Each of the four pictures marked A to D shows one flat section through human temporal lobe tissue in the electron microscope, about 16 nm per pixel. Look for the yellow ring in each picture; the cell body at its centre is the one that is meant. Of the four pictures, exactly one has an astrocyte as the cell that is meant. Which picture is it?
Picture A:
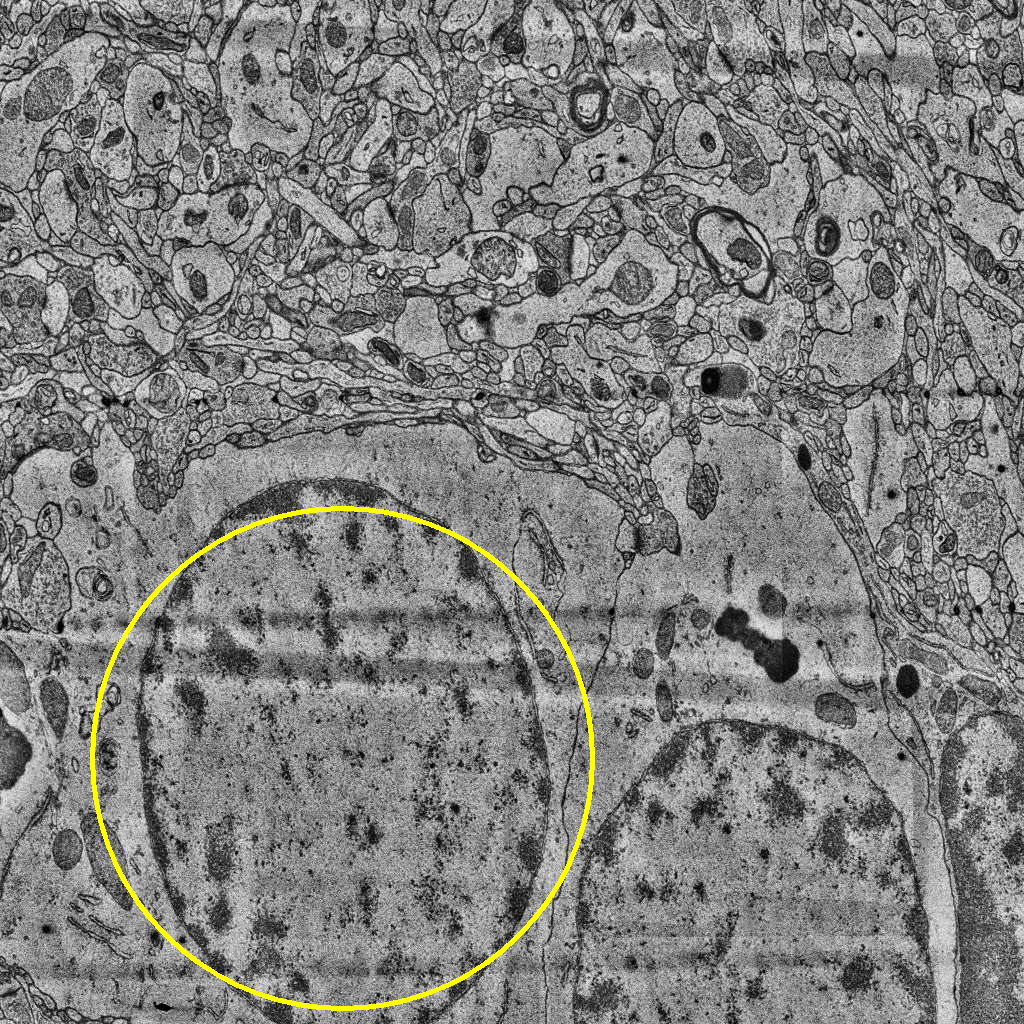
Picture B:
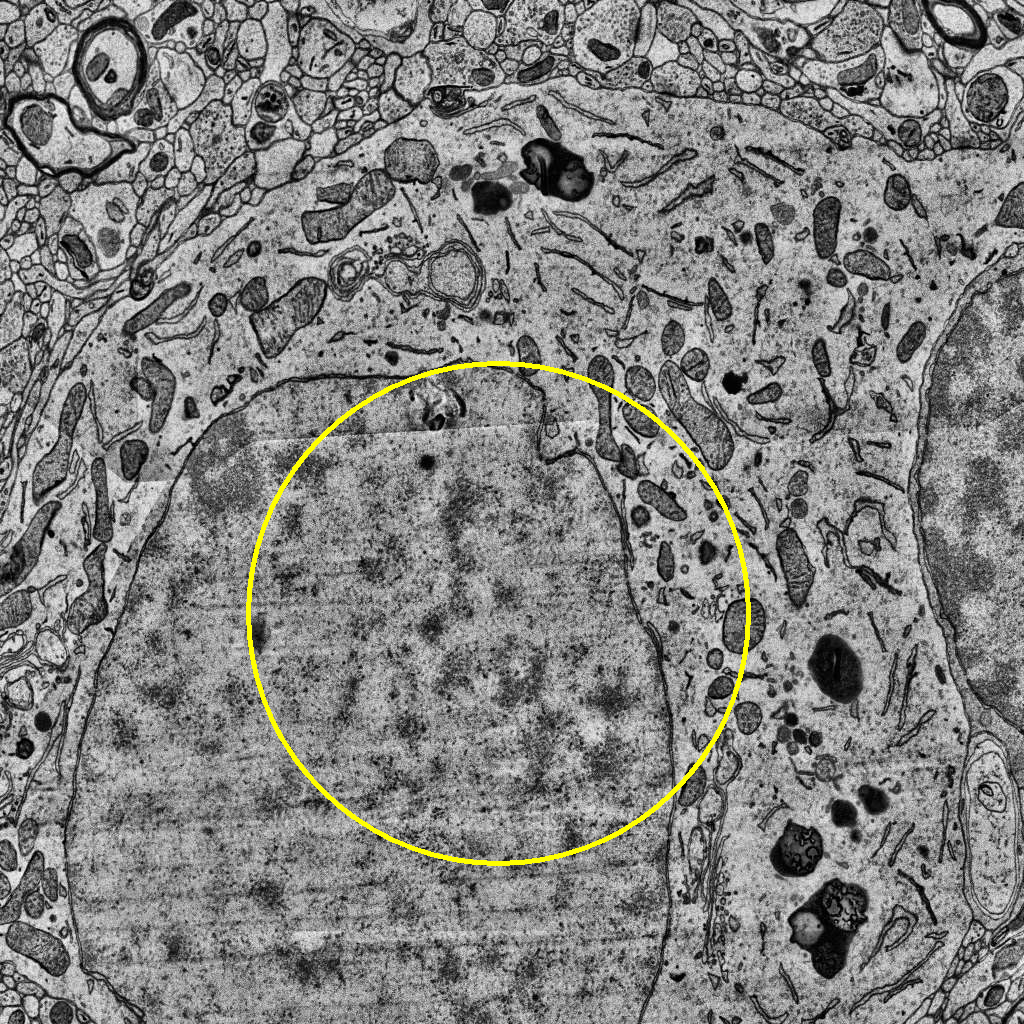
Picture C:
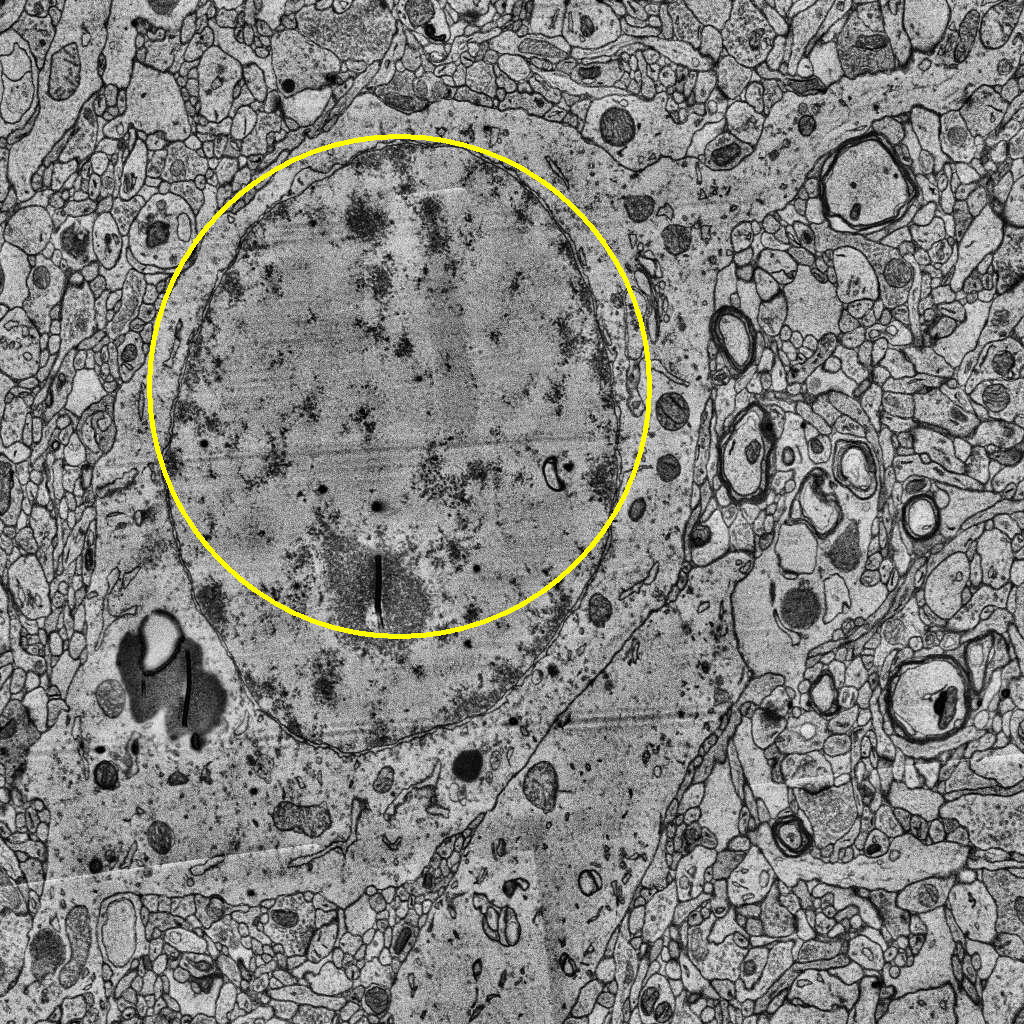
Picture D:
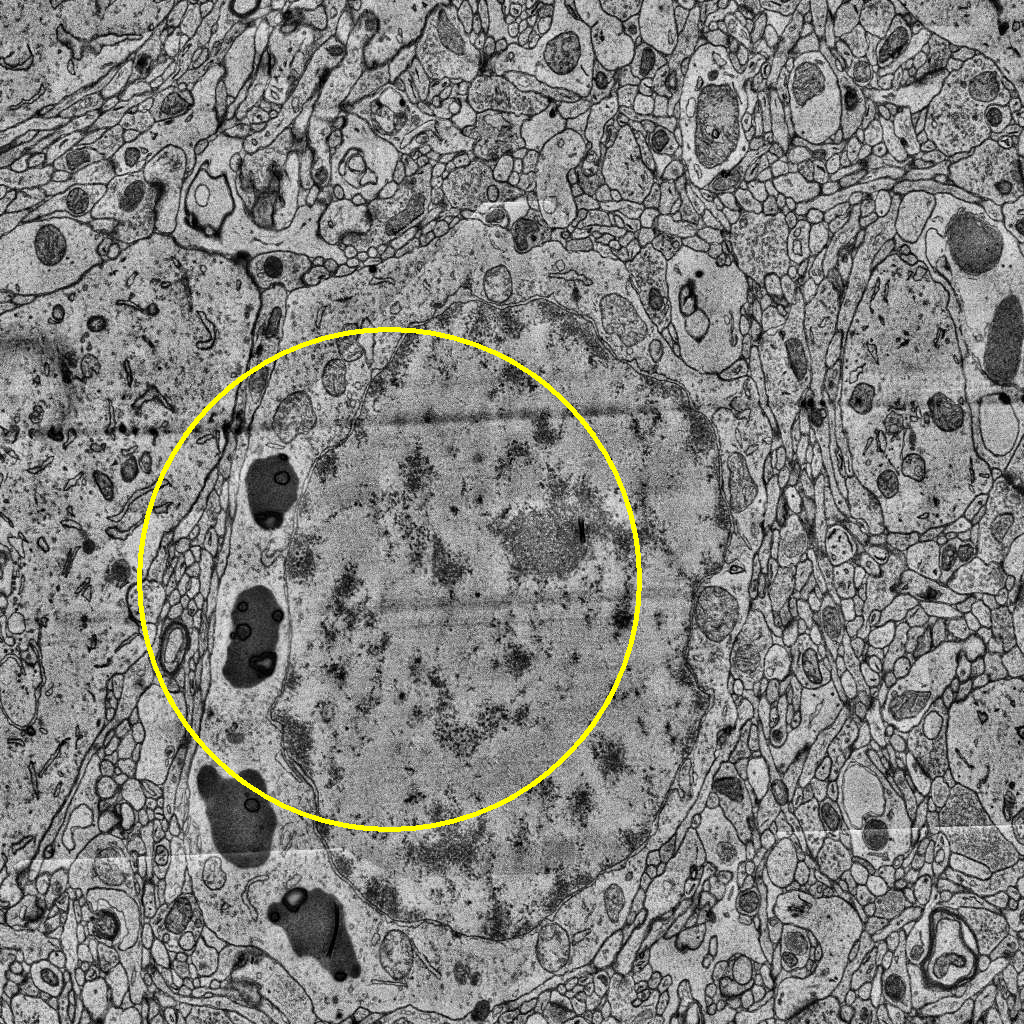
Picture A is the one that shows the astrocyte.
